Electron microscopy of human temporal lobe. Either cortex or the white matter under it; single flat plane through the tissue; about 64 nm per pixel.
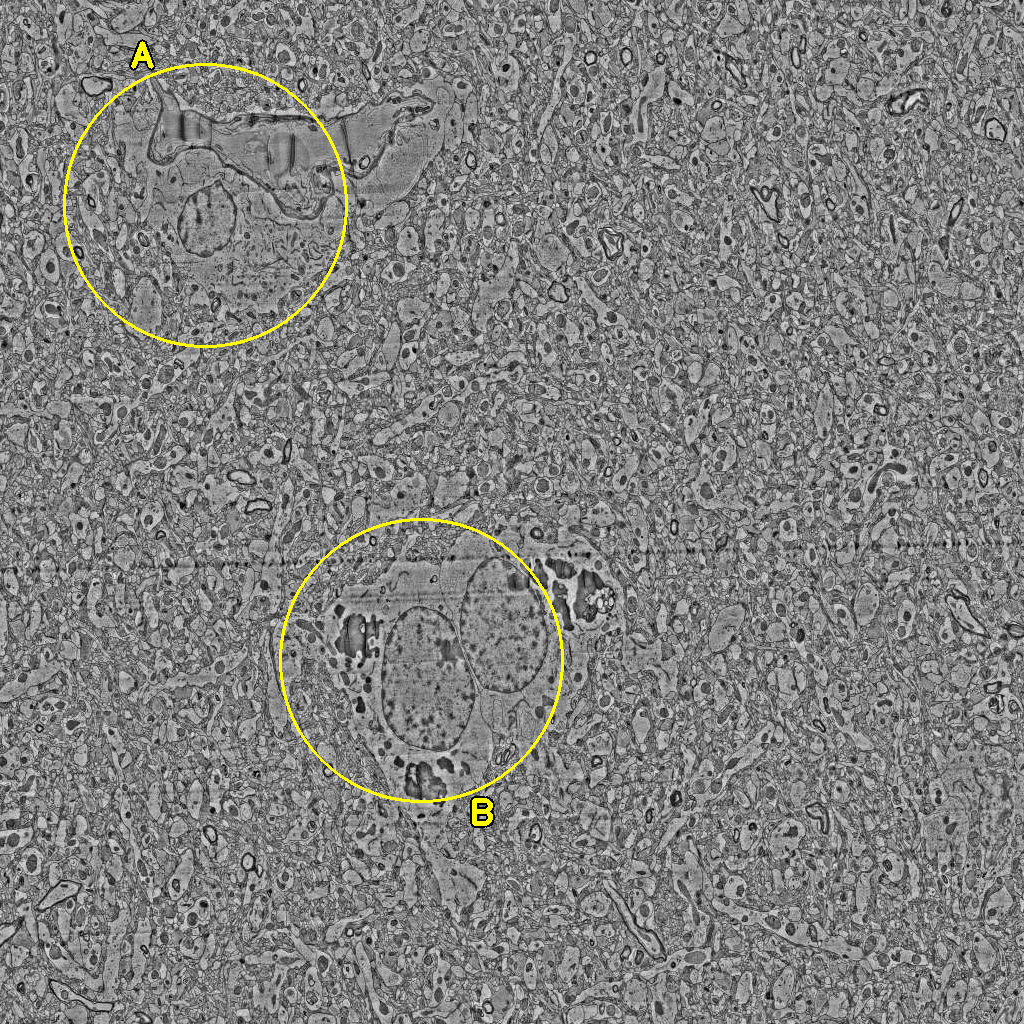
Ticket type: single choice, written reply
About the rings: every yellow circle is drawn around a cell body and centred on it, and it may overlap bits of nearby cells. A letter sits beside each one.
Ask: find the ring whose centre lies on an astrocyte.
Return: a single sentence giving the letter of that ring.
At the centre of the ring marked B lies the cell asked for.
